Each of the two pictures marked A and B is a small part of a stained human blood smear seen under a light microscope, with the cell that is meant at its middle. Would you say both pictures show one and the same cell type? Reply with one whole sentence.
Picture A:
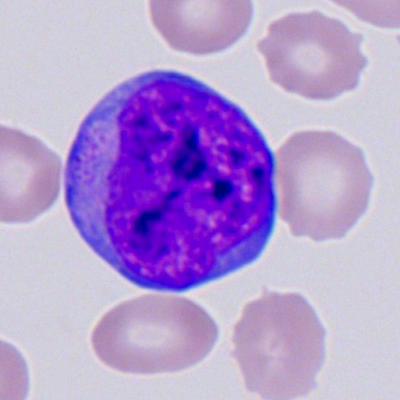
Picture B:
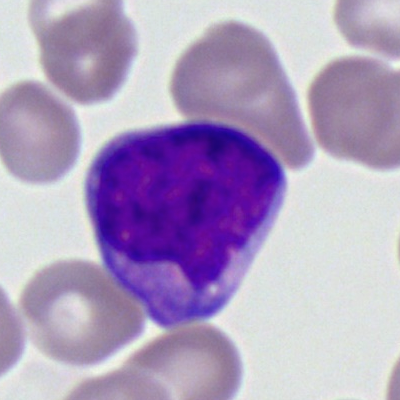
Yes; the cells in both pictures are myeloblasts.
